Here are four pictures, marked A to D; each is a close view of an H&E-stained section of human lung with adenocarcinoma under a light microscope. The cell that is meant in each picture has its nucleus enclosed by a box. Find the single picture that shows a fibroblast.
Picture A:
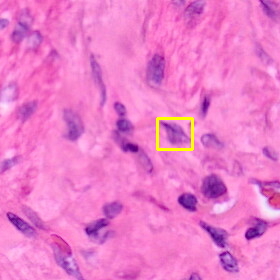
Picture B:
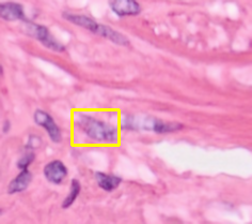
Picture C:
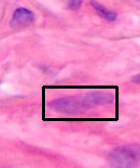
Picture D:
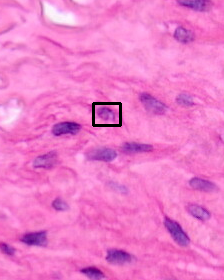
A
